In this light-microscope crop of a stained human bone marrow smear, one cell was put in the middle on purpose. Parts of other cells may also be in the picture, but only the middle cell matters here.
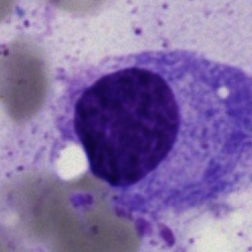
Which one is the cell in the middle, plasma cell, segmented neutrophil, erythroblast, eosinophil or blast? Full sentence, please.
What sits at the centre of this crop is a plasma cell.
